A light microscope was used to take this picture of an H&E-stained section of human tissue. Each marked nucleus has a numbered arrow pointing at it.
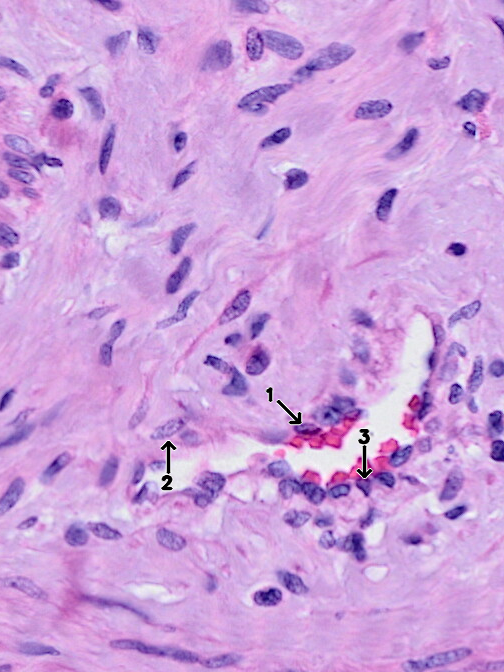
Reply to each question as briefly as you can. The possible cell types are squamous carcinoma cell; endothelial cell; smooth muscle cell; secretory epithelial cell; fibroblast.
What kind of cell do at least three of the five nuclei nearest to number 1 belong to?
endothelial cell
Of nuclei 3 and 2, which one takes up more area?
2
